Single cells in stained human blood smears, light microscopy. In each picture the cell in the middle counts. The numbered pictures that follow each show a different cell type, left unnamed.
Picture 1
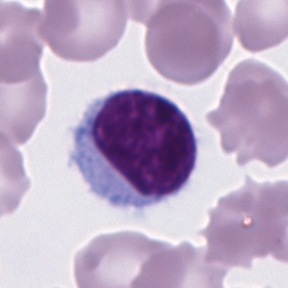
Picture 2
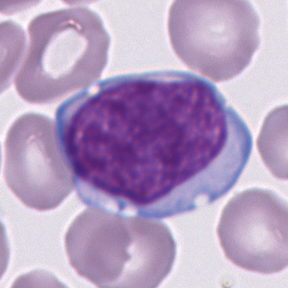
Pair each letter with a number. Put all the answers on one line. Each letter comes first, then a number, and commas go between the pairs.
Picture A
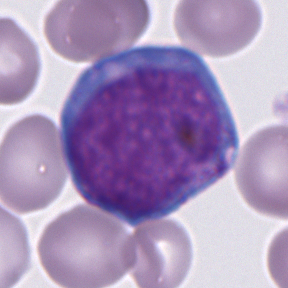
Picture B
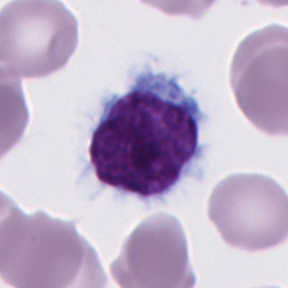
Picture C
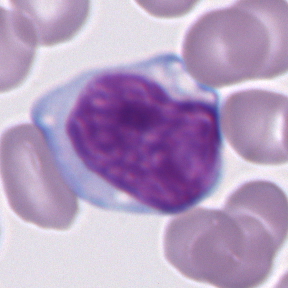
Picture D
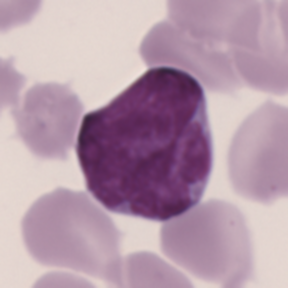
A 2, B 1, C 2, D 2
